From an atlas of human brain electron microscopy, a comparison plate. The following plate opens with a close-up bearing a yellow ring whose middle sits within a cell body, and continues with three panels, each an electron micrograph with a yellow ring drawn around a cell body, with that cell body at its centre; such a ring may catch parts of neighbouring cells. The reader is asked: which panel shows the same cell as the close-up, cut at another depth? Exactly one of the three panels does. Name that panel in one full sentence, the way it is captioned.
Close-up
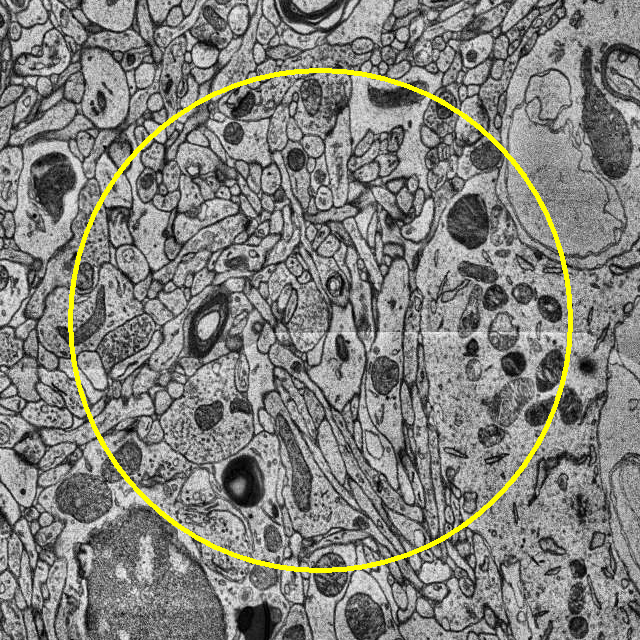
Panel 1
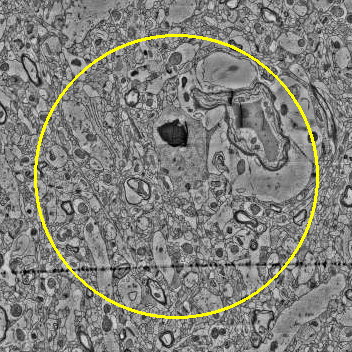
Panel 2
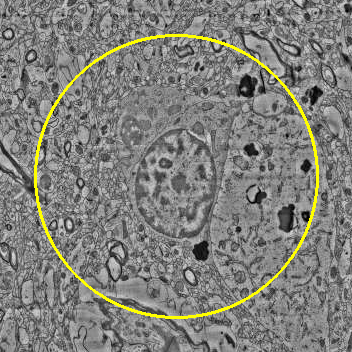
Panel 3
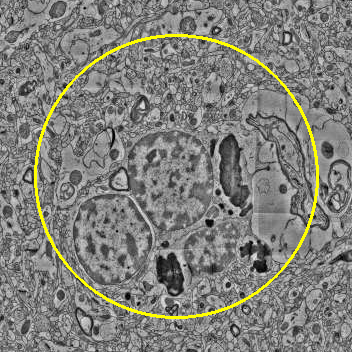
The close-up singles out the cell ringed in Panel 3.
